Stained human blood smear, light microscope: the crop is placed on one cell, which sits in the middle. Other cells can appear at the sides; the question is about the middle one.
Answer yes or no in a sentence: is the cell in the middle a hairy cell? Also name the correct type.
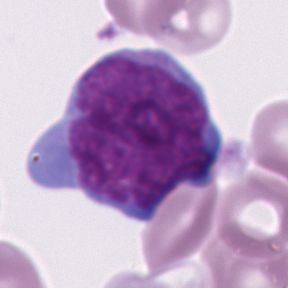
No, the central cell isn't a hairy cell, but a myeloblast.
